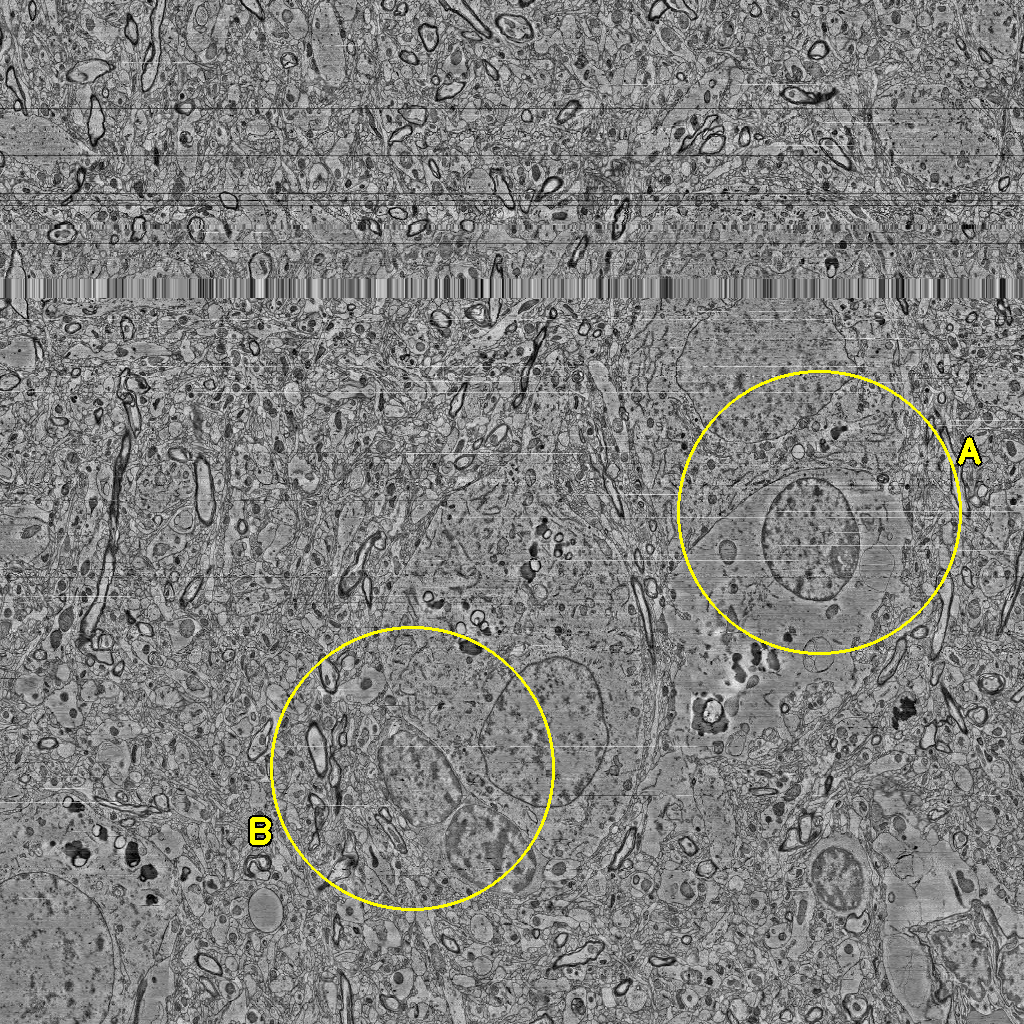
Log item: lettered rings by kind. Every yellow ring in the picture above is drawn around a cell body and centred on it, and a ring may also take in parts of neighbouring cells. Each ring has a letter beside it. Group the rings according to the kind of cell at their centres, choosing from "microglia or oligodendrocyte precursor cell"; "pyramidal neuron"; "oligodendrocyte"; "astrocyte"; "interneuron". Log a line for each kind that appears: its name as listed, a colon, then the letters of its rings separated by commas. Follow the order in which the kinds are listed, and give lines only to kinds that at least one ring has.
oligodendrocyte: B
astrocyte: A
